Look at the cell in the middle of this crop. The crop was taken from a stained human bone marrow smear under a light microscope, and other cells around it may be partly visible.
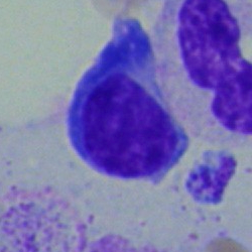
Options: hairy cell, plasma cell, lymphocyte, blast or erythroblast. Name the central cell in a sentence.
The center cell of this crop is a plasma cell.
